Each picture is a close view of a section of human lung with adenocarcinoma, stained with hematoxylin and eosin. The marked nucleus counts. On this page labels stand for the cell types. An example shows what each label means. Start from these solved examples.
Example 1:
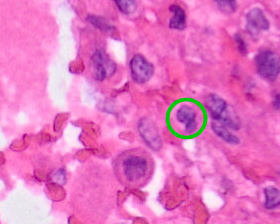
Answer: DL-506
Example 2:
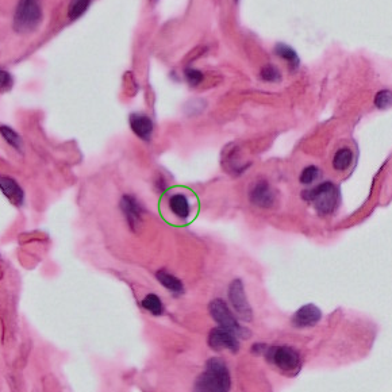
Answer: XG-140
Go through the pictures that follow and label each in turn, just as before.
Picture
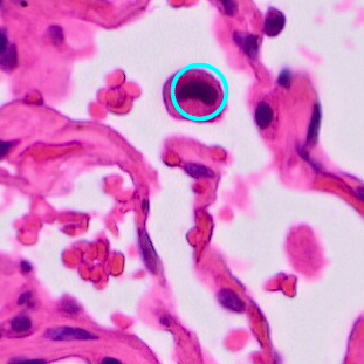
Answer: DL-506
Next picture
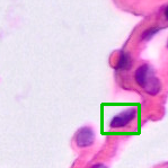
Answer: XG-140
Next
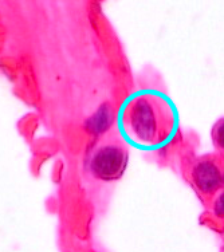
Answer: XG-140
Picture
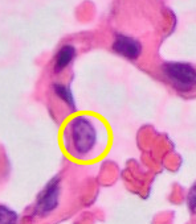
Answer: XG-140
